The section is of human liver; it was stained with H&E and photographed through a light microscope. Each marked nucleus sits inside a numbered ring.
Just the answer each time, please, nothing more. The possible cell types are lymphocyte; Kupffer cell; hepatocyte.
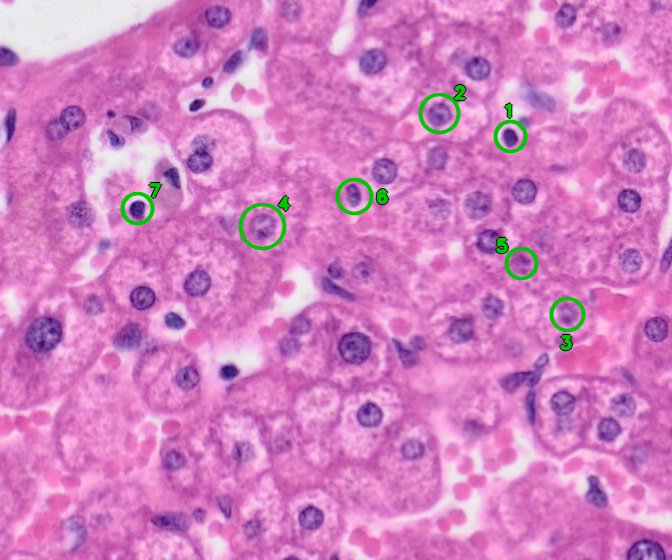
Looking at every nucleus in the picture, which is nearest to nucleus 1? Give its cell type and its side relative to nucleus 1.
a lymphocyte, above and to the right of nucleus 1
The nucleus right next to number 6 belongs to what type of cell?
hepatocyte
